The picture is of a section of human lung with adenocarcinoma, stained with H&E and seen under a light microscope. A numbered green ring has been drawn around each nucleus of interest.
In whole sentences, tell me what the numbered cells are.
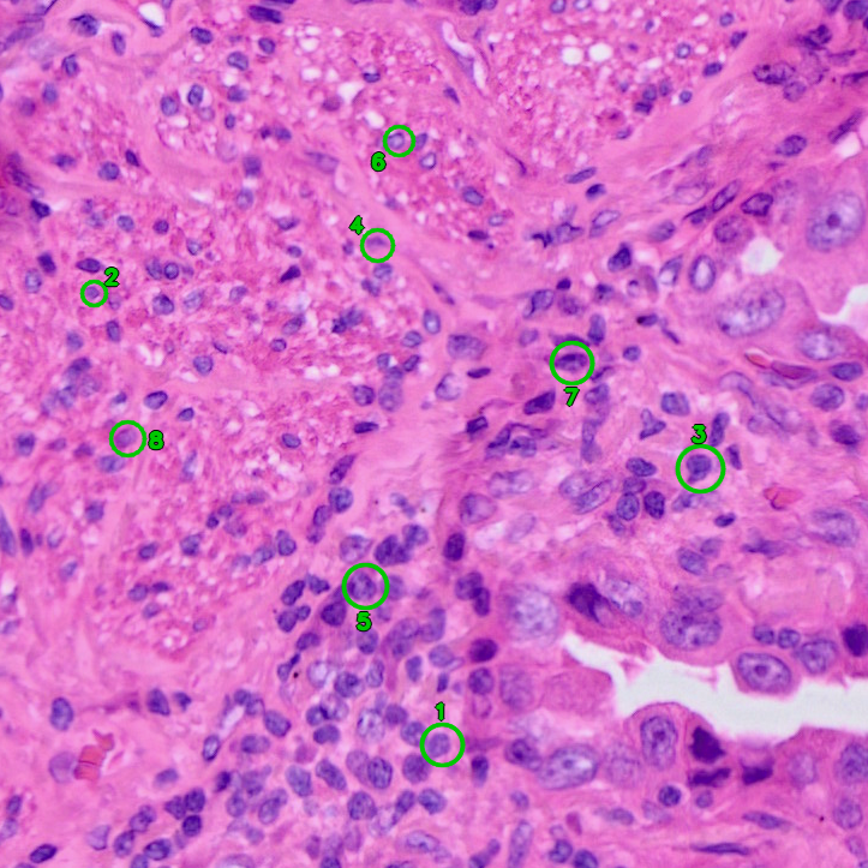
Cells 1 and 3 are lymphocytes. Cells 2, 6 and 8 are smooth muscle cells or pericytes. Cell 4 is a mast cell. Cells 5 and 7 are plasma cells.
